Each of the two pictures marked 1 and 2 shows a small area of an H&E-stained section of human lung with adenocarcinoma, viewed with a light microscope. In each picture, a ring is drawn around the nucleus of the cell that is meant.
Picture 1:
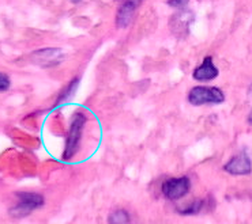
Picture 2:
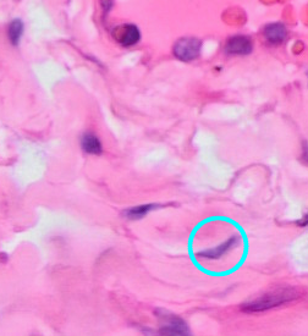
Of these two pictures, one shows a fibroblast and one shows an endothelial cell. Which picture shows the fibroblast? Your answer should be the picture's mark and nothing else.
2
